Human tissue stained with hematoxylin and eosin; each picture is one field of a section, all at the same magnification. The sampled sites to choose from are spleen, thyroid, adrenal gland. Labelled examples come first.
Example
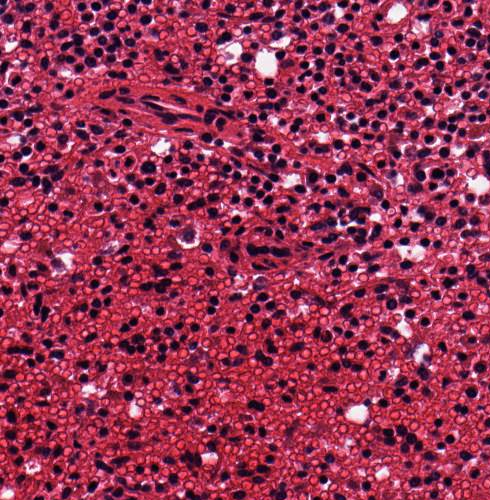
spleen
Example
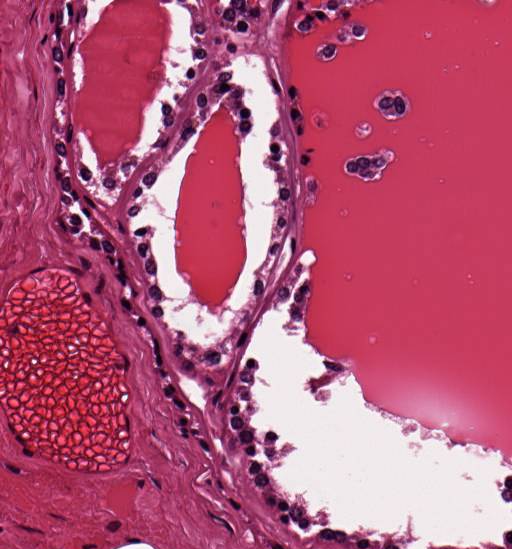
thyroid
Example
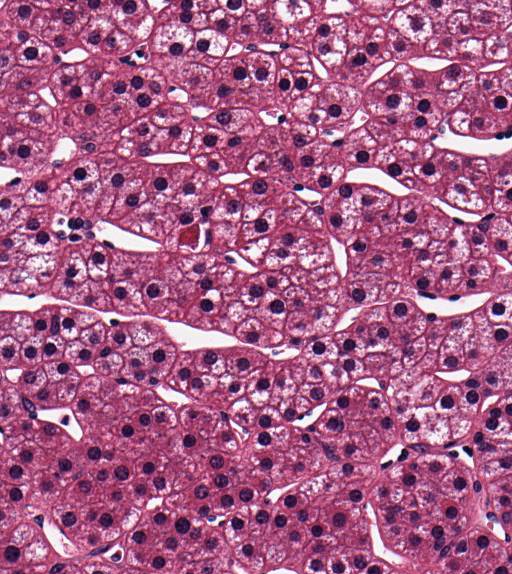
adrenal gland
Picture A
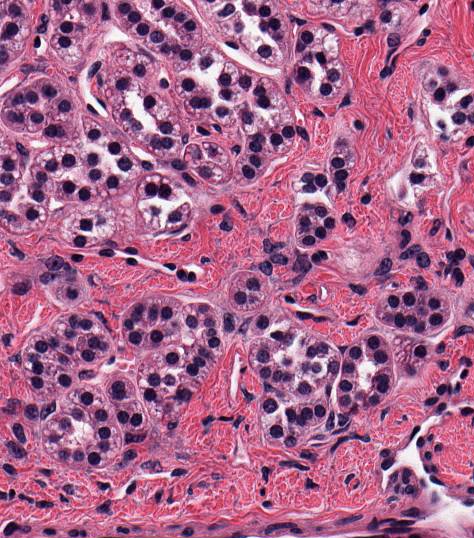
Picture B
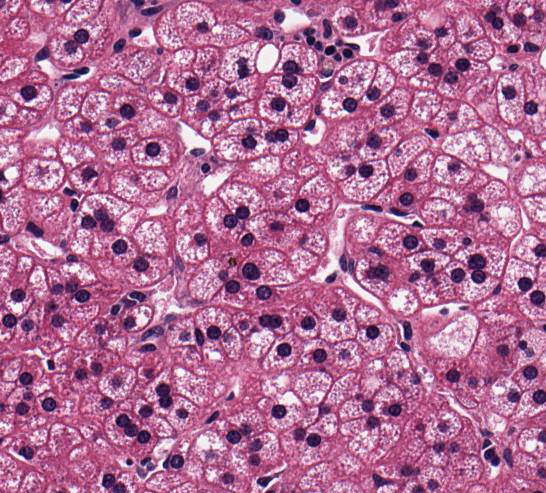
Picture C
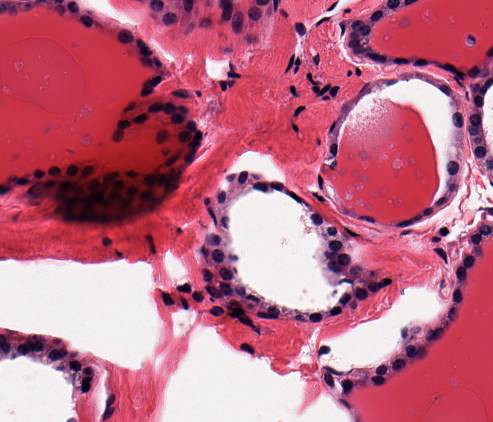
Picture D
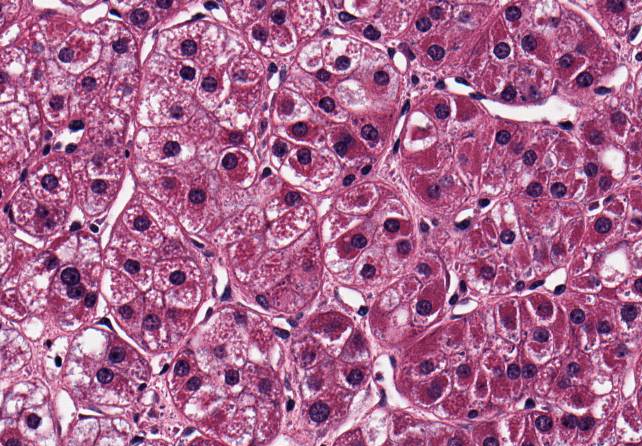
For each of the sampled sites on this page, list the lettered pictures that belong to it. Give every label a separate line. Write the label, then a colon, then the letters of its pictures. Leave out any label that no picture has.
thyroid: C
adrenal gland: A, B, D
